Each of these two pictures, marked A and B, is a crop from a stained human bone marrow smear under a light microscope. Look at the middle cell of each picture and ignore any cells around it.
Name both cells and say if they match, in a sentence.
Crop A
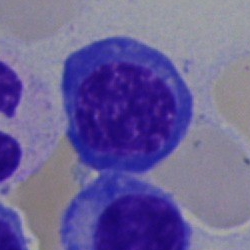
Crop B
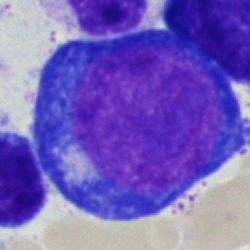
No, the cell of interest in crop A is a plasma cell, and in crop B it is a proerythroblast.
